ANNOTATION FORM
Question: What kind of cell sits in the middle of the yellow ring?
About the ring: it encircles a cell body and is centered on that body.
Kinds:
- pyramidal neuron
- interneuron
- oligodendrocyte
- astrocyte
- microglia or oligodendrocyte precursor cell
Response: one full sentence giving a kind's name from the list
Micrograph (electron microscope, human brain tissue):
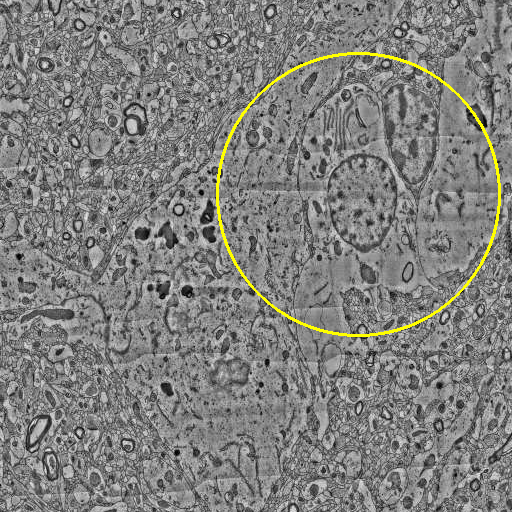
The kind of cell found at the center of the yellow ring in the micrograph is an astrocyte.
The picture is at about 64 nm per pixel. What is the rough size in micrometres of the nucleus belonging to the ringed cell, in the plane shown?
In this plane the nucleus measures roughly 6 by 4 micrometres.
